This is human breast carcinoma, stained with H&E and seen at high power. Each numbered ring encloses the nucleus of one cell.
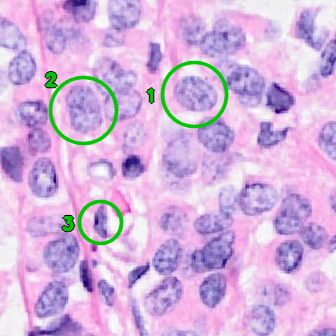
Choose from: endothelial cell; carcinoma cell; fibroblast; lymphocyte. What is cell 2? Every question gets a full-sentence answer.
The one labeled 2 is a carcinoma cell, to put it simply.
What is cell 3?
It is as an endothelial cell that the cell numbered 3 is identified.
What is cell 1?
The correct label for cell 1 is a carcinoma cell.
